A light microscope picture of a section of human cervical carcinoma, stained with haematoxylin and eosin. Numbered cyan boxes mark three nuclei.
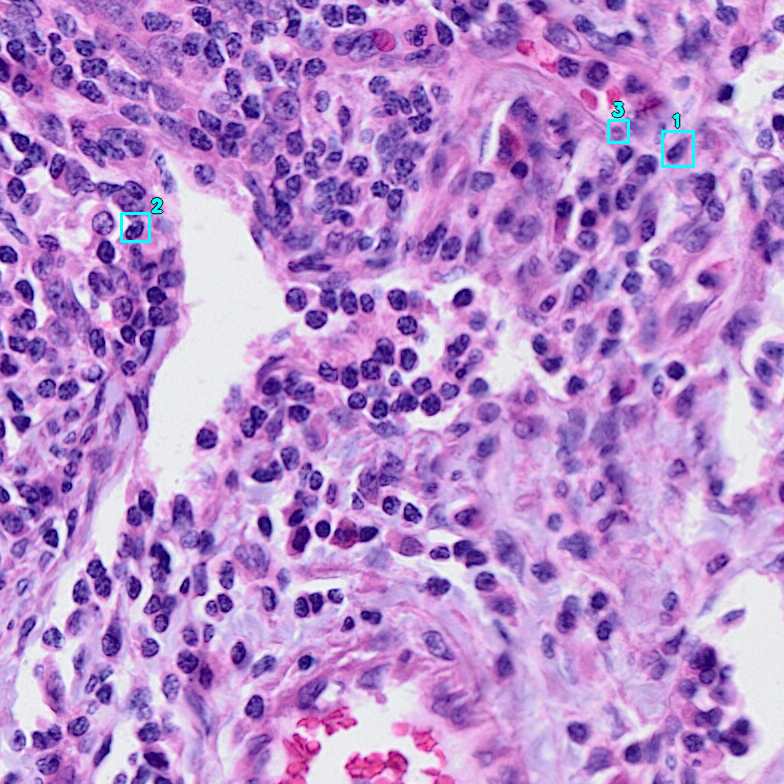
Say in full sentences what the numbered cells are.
Cell 1 is a lymphocyte, cell 2 is a lymphocyte and cell 3 is an endothelial cell.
